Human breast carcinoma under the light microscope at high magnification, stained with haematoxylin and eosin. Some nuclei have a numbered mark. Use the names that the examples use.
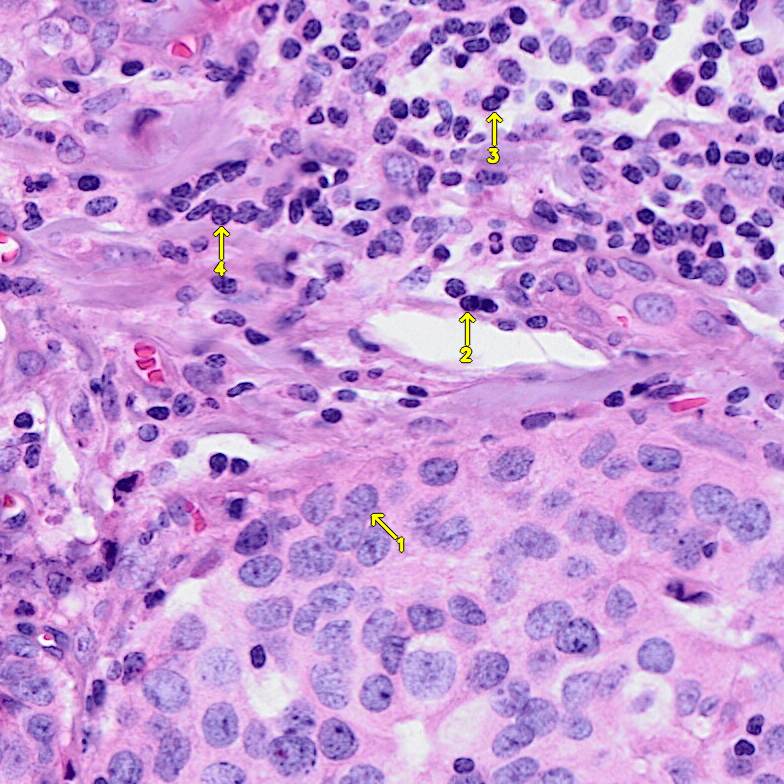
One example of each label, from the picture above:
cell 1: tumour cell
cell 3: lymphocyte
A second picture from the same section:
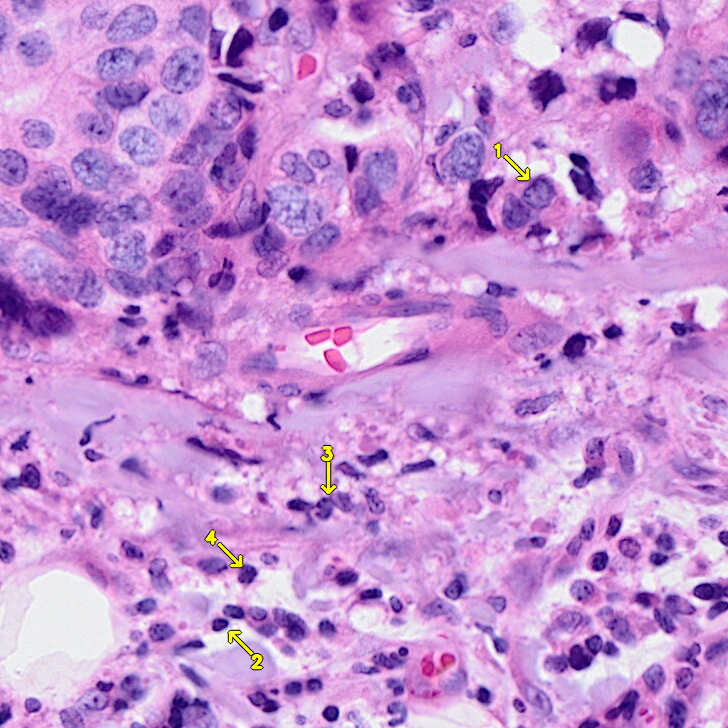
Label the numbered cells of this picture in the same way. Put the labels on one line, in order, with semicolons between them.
tumour cell; lymphocyte; lymphocyte; lymphocyte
